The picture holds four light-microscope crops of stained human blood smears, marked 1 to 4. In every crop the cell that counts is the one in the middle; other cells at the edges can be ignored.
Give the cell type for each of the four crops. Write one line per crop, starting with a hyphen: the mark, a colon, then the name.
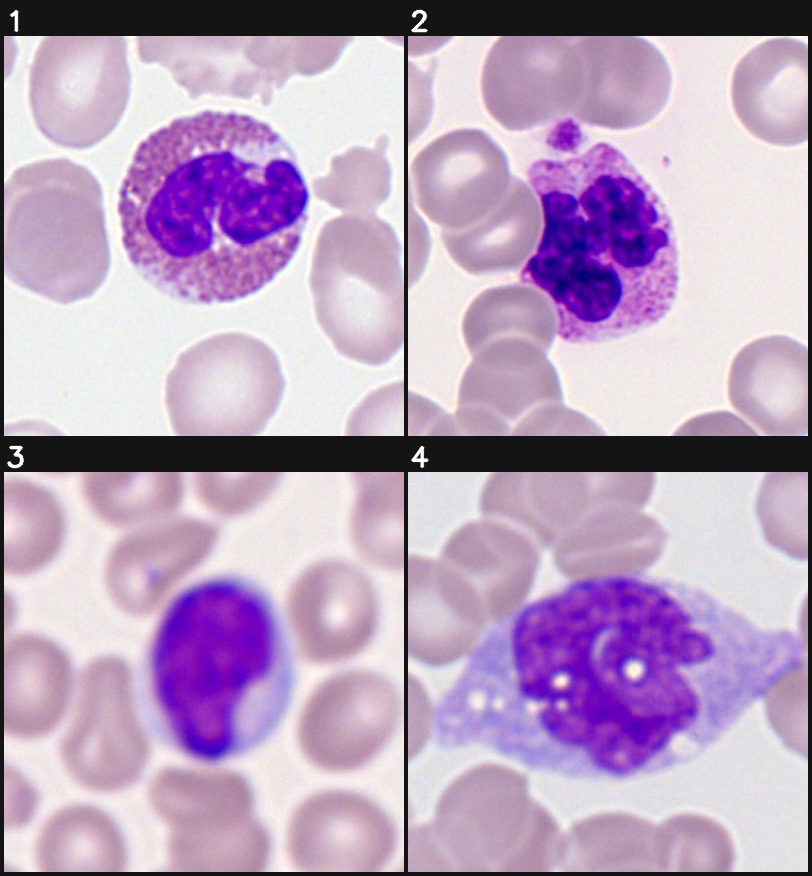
- 1: eosinophil
- 2: basophil
- 3: lymphocyte
- 4: monocyte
